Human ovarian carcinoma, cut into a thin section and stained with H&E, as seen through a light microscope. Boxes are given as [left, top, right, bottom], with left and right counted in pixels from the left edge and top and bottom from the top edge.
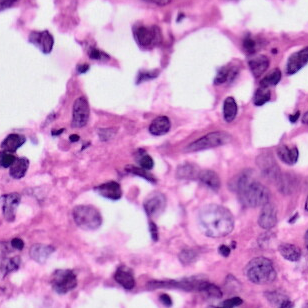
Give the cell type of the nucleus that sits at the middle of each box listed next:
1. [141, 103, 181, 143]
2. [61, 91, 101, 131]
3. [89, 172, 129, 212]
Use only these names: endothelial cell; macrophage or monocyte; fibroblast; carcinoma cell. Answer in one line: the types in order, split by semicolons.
macrophage or monocyte; macrophage or monocyte; carcinoma cell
